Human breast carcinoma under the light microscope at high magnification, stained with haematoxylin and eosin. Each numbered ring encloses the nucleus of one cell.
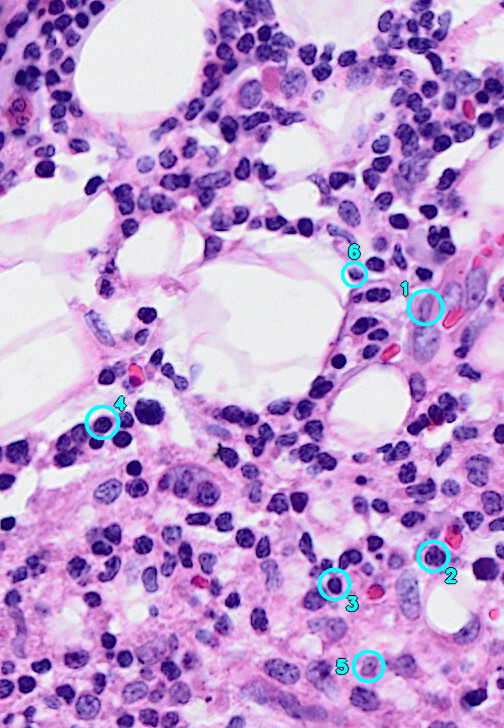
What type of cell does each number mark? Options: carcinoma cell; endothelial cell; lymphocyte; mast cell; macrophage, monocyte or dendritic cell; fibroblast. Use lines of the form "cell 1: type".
cell 1: endothelial cell
cell 2: lymphocyte
cell 3: lymphocyte
cell 4: lymphocyte
cell 5: macrophage, monocyte or dendritic cell
cell 6: lymphocyte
